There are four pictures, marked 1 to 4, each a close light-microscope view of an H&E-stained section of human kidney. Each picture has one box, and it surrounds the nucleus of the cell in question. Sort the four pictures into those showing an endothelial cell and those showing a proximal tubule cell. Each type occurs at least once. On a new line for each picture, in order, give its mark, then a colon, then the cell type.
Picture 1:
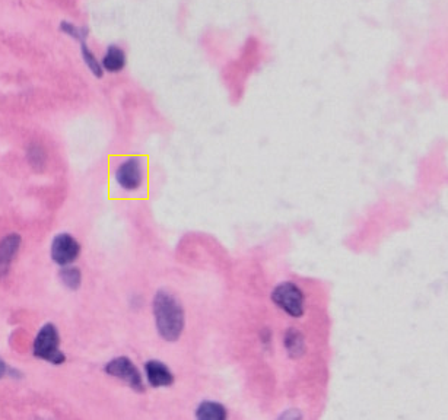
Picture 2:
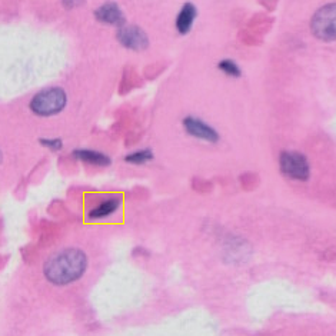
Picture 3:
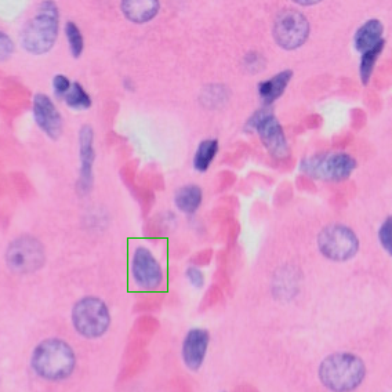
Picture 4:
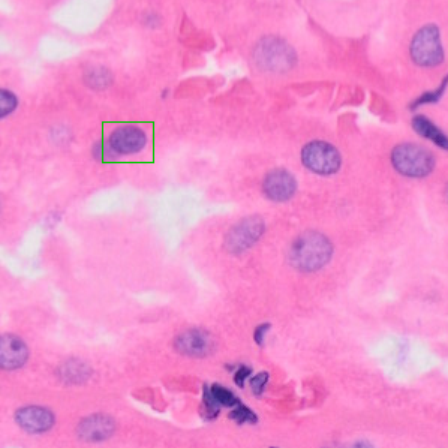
1: endothelial cell
2: endothelial cell
3: endothelial cell
4: proximal tubule cell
